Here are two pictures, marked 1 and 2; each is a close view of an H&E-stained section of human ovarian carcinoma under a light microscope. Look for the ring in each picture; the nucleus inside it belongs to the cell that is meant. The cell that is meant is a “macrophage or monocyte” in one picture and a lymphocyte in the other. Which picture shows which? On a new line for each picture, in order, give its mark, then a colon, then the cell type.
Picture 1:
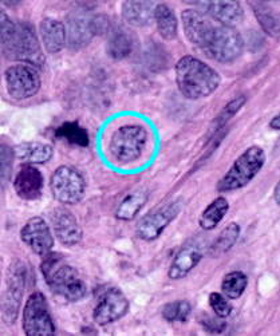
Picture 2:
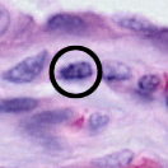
1: macrophage or monocyte
2: lymphocyte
